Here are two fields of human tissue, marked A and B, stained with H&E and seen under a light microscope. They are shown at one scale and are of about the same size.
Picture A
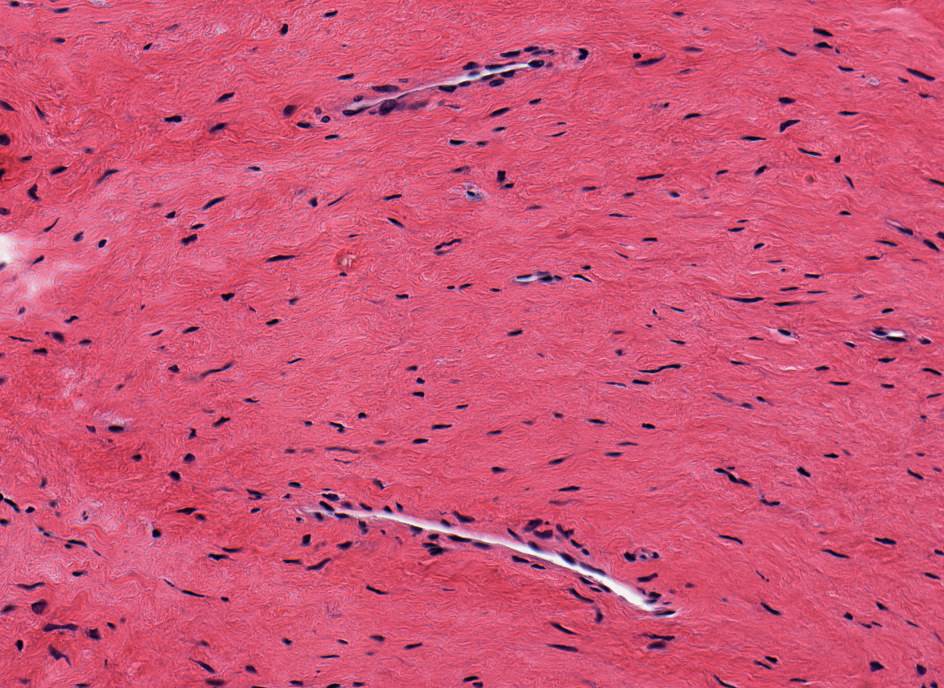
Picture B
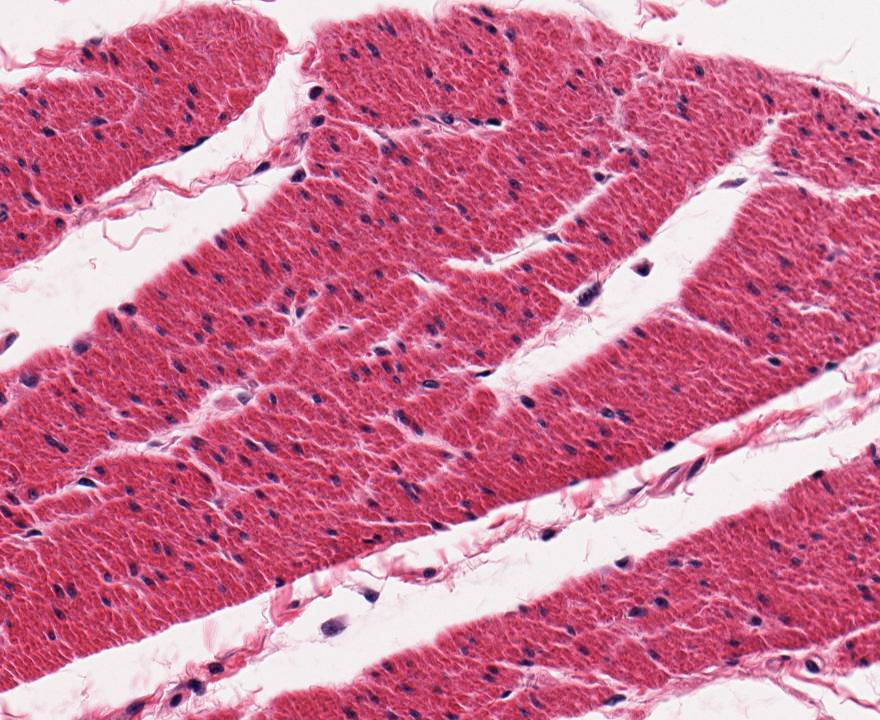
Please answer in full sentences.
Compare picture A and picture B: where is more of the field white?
More of picture B is empty and white.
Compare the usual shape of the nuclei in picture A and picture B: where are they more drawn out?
Longer, more slender nuclei lie in picture A.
